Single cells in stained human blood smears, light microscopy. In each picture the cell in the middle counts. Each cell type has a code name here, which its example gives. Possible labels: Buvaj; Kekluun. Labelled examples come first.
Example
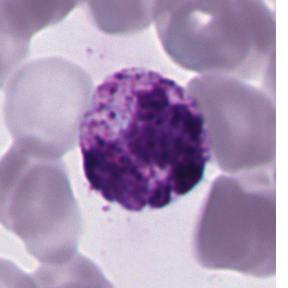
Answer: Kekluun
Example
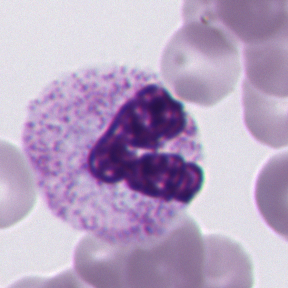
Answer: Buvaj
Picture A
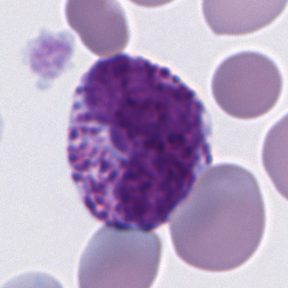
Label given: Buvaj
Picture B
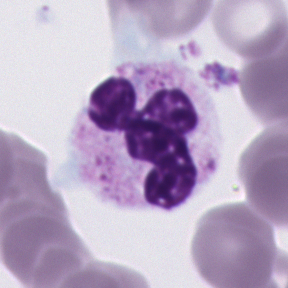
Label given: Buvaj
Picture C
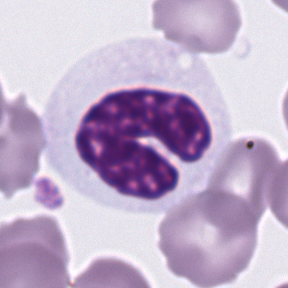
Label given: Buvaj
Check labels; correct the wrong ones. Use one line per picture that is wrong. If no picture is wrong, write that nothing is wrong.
A is labelled Buvaj; correct label: Kekluun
